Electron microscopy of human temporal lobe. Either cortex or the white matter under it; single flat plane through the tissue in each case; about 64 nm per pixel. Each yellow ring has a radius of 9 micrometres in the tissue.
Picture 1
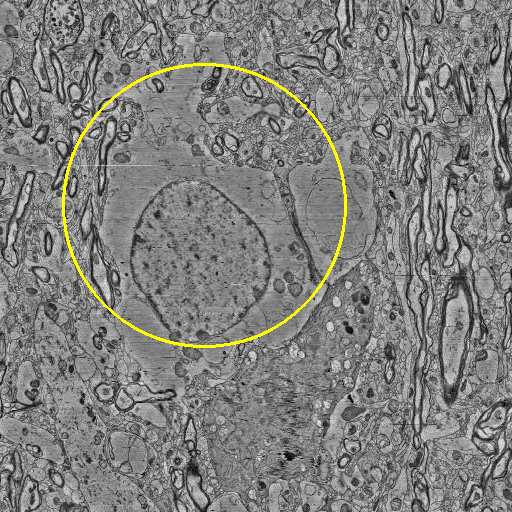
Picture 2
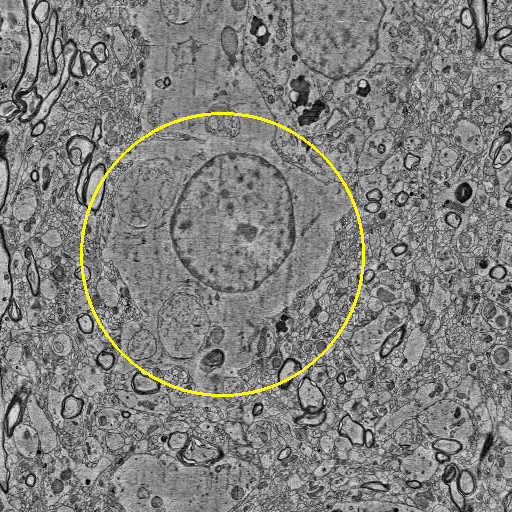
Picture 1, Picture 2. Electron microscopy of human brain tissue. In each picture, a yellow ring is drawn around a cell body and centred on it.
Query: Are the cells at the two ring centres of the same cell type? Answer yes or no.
yes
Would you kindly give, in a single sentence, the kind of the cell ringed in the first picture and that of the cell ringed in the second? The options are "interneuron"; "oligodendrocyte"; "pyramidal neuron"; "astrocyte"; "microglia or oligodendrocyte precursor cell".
Each cell at the centre of a ring is an astrocyte.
